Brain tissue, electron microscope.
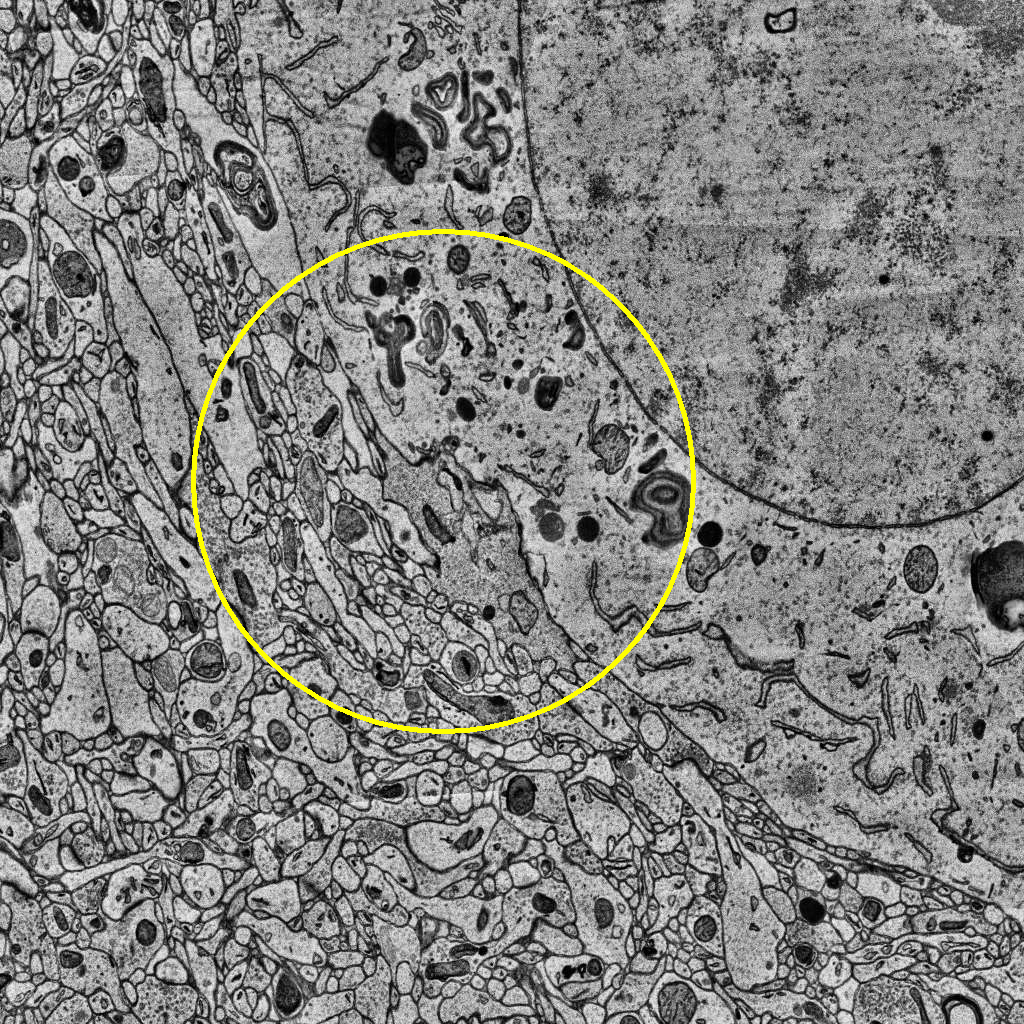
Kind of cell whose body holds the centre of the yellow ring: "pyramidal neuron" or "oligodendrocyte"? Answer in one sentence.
The ring's centre falls on an oligodendrocyte.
